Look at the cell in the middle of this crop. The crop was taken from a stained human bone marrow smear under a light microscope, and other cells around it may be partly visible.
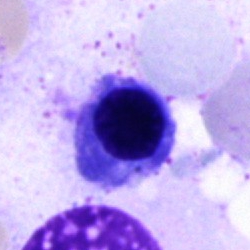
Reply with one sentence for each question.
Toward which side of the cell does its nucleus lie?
Seen from the middle of the cell, the nucleus lies toward the upper right.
